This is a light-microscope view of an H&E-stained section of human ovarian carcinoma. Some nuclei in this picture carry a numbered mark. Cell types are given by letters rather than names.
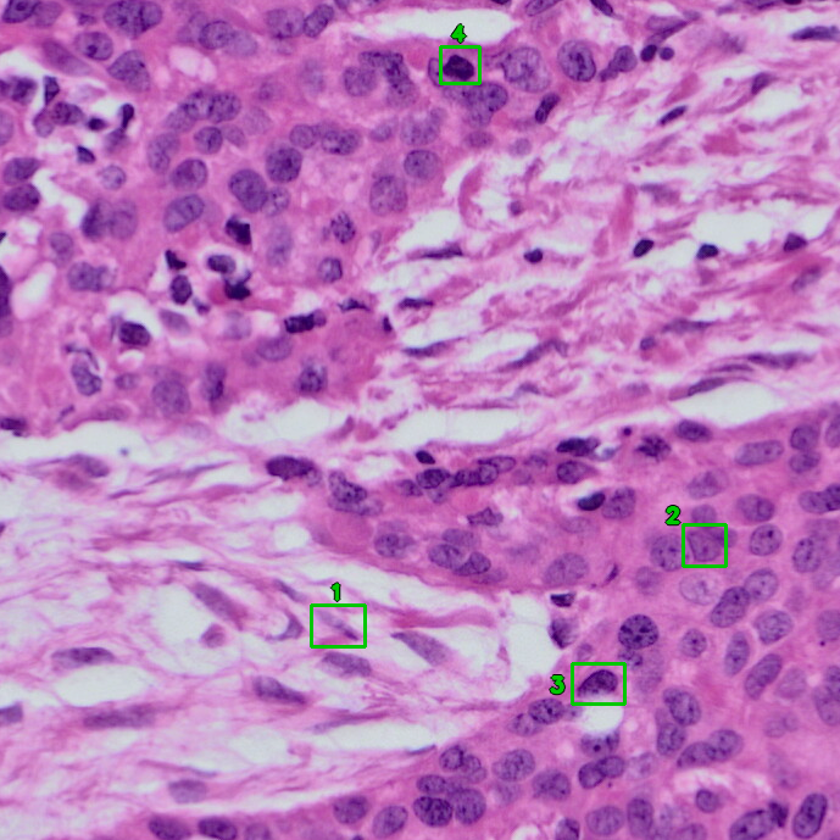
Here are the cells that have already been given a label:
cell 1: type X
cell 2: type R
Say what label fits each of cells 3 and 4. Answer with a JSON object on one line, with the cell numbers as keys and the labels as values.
{"3": "type R", "4": "type R"}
